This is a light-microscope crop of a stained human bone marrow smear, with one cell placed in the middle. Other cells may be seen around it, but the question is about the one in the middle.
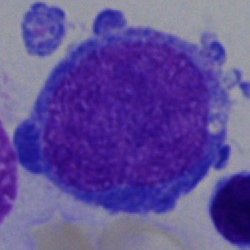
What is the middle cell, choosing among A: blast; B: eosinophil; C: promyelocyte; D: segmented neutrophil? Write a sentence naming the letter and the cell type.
The correct choice is option A, which identifies the middle cell as a blast.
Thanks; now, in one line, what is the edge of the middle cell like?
Irregular rather than smooth, the cell margin shows ragged areas or projections.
